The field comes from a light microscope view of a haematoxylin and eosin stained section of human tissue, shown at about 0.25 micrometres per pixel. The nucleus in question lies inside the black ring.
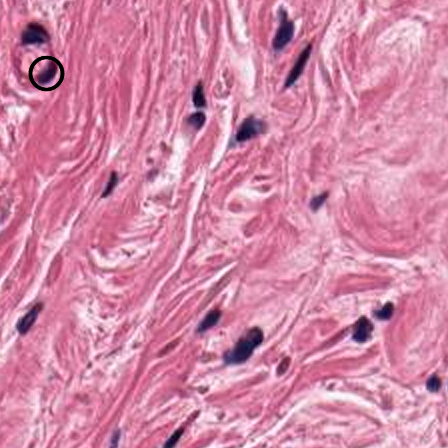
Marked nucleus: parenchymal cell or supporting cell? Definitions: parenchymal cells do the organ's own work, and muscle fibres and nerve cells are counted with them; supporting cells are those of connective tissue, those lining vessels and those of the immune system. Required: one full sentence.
In this field of view, a supporting cell owns the marked nucleus.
